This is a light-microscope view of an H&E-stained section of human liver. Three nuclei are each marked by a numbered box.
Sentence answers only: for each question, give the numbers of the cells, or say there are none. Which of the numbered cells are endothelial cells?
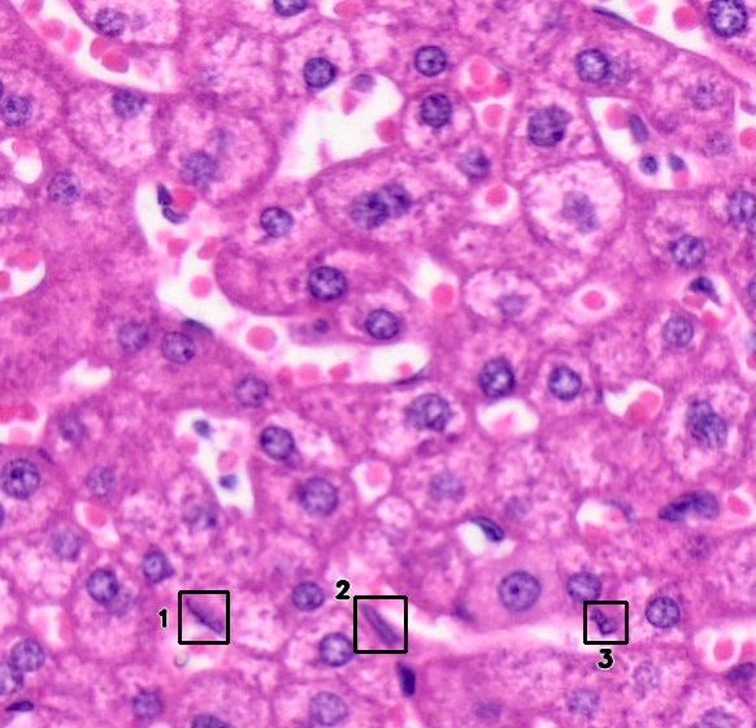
Cell 1 is an endothelial cell and is the only numbered cell of that kind.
